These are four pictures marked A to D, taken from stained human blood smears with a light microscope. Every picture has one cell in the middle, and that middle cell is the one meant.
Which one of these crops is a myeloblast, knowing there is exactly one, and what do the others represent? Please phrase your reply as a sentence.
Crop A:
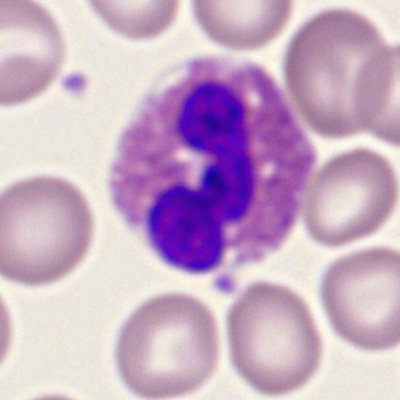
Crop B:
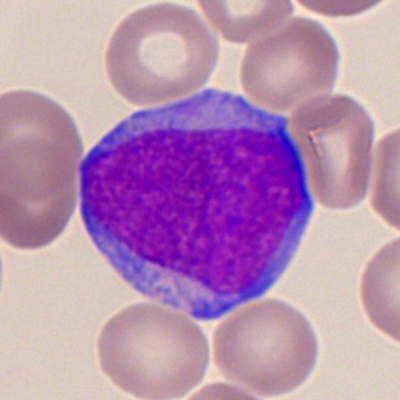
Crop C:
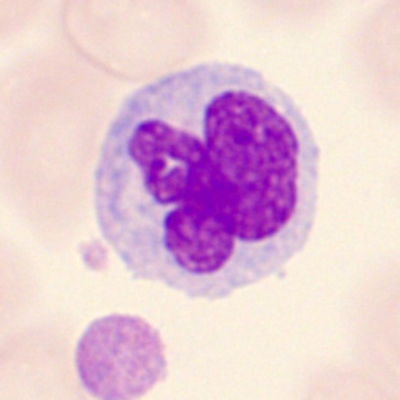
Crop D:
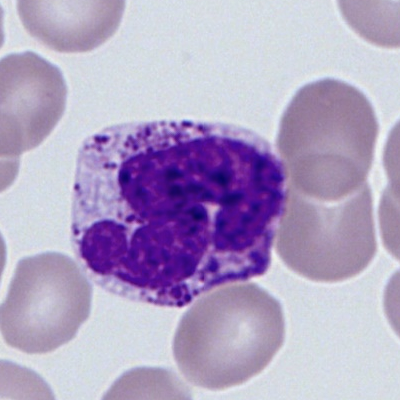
The centred cell in crop B is a myeloblast; meanwhile, crop A is an eosinophil, crop C is a monocyte and crop D is a basophil.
